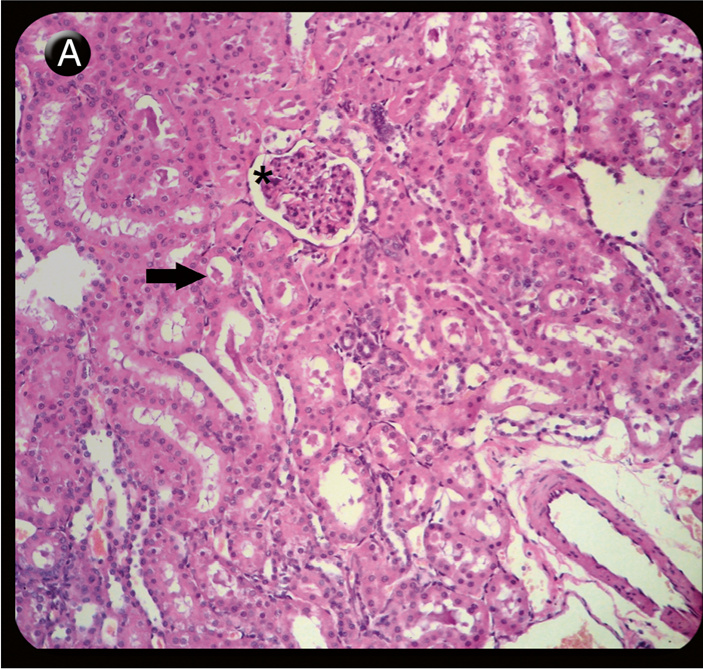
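This is renal cortex with a glomerulus surrounded by many cross- and longitudinally sectioned tubules. The glomerulus is a rounded, cell-dense tuft of capillaries with many dark purple nuclei, separated by a narrow clear Bowman's space from a thin capsule. The tubules are lined by cuboidal epithelial cells with pink eosinophilic cytoplasm and round, centrally or basally placed nuclei. Some tubules have clear open lumina, while others are narrower, and the tubules lie close together with little interstitium between them. A blood vessel with a muscular wall is seen at the lower right edge.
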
